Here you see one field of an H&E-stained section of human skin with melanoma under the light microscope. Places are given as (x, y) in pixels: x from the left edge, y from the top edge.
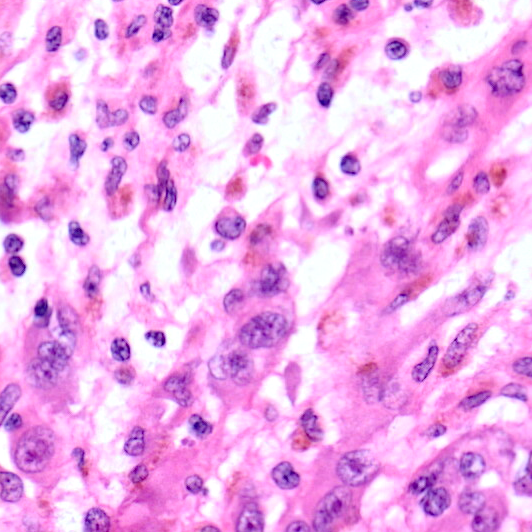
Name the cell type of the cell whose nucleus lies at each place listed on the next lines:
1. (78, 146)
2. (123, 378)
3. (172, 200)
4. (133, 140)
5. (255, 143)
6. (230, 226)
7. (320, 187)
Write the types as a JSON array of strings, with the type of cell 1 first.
["lymphocyte", "macrophage or monocyte", "lymphocyte", "lymphocyte", "macrophage or monocyte", "macrophage or monocyte", "macrophage or monocyte"]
